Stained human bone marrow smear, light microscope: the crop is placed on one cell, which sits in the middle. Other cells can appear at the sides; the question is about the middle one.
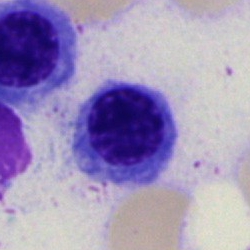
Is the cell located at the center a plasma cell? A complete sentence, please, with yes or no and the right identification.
No, the central cell is classed as a normoblast, not a plasma cell.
